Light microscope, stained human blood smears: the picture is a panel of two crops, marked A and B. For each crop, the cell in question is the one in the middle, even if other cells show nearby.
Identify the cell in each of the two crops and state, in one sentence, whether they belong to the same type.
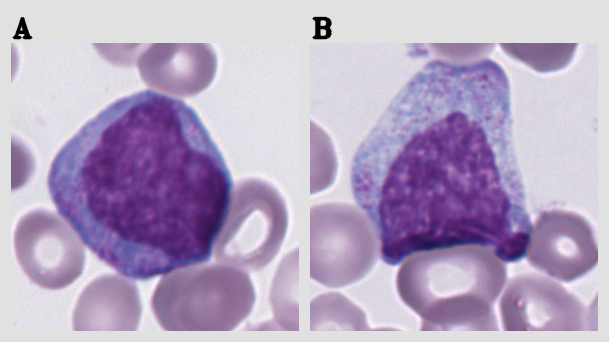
Yes, the two crops share the same answer, promyelocytes.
